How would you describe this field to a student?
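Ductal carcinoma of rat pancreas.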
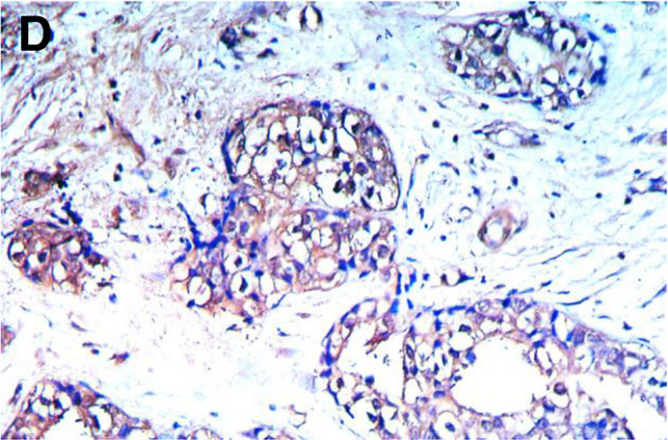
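Some glands enclose an open central lumen, others are more crowded clusters. The tumour cells have large, clear, vacuolated cytoplasm with nuclei pushed to the edge or centre. A faint light brown colour outlines the cells and tints their cytoplasm. Between the glands, scattered spindle-shaped stromal cells with blue nuclei lie in the fibrous tissue.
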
